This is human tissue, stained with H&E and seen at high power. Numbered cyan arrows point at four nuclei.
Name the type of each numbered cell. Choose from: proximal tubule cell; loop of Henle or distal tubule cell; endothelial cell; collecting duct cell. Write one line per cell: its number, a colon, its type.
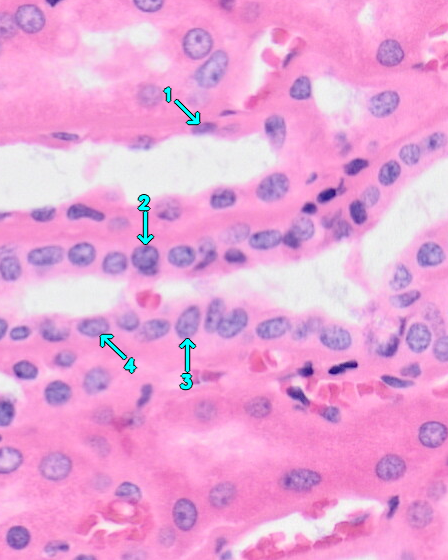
1: loop of Henle or distal tubule cell
2: collecting duct cell
3: collecting duct cell
4: collecting duct cell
